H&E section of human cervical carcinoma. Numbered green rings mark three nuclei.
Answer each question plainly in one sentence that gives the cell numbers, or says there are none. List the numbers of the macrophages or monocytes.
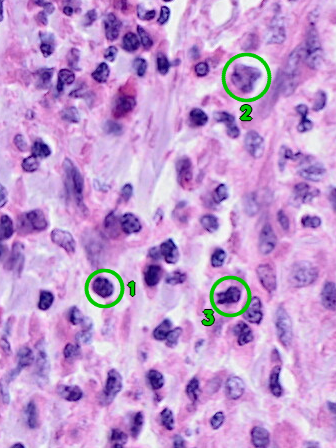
Among the marked cells, a macrophage or monocyte is found only at number 2.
